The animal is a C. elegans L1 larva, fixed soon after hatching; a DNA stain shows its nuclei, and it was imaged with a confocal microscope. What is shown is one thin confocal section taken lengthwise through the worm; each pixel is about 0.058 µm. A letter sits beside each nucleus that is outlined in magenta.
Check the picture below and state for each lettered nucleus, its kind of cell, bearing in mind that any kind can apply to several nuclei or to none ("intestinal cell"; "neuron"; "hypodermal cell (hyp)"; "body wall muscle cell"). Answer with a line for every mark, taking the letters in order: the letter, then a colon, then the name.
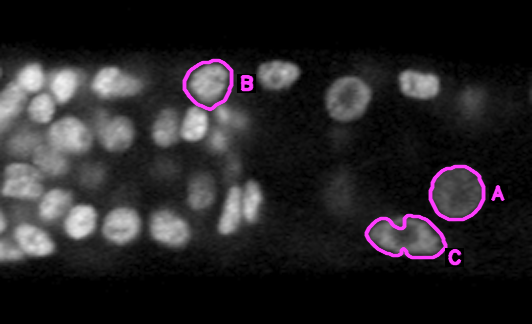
A: intestinal cell
B: body wall muscle cell
C: hypodermal cell (hyp)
